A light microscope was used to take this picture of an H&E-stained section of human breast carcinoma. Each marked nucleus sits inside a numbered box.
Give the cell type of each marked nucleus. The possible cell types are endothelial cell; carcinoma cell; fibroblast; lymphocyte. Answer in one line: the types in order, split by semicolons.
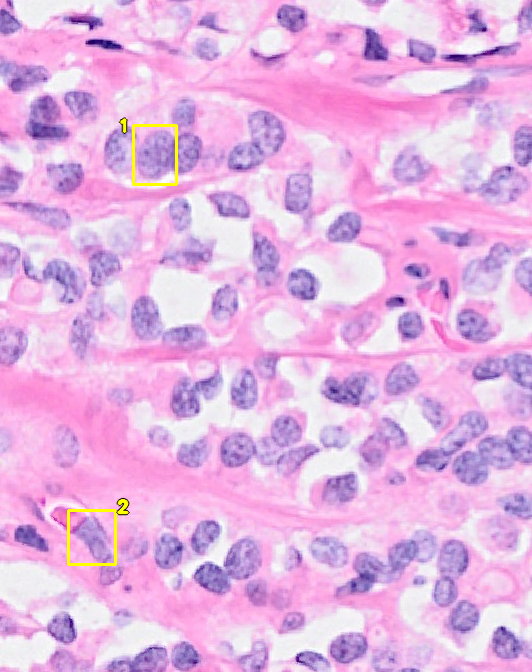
carcinoma cell; endothelial cell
